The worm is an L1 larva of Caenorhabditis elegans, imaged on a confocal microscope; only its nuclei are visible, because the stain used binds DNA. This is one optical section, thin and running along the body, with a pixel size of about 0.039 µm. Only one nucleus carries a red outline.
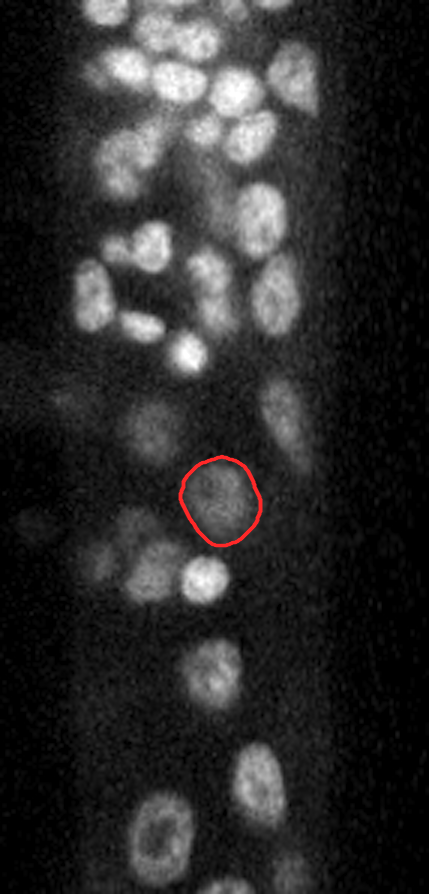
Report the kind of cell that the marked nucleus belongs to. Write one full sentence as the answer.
The marked nucleus is that of a hypodermal cell (hyp).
